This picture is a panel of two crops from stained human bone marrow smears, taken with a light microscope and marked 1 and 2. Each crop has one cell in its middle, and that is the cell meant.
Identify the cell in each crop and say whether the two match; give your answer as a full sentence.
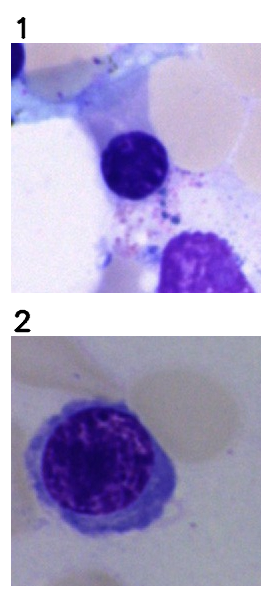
Yes, as shown in both crops, the central cells are erythroblasts.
